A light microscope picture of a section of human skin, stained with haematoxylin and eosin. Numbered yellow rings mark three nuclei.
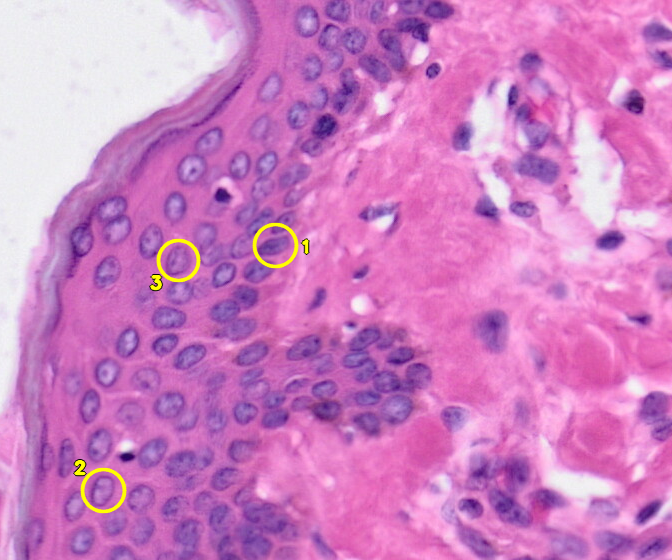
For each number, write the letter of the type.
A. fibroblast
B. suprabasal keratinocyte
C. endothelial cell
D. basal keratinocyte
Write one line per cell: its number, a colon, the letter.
1: D
2: B
3: B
